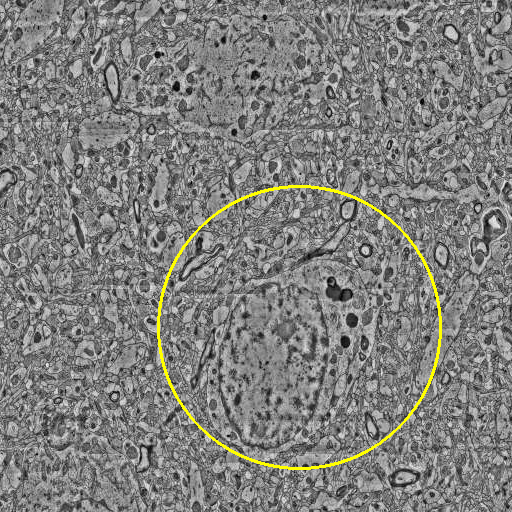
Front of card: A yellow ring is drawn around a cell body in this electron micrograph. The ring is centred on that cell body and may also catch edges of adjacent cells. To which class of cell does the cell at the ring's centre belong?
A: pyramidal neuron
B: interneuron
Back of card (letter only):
B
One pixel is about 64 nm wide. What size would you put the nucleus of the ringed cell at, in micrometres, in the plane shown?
Approximately 11 micrometres long and 7 micrometres wide, so clearly longer than it is wide in this plane.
